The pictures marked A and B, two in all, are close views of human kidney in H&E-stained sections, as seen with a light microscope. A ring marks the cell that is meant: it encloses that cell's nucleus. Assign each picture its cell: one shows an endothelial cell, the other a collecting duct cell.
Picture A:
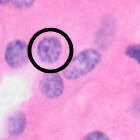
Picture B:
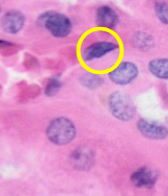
A: collecting duct cell
B: endothelial cell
